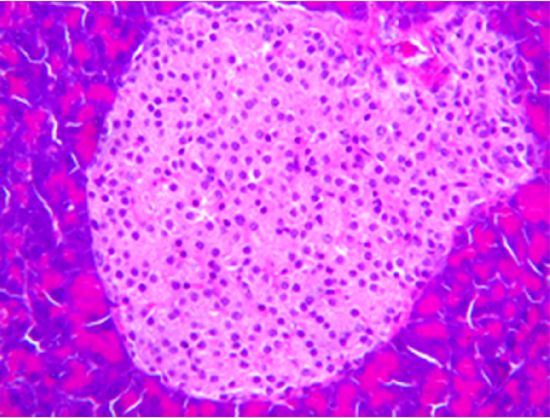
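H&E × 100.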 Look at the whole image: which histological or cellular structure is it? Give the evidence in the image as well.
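A large, rounded, pale pink cluster of cells fills the centre of the field. The cluster is sharply set off from the surrounding darker purple-red glandular tissue. The cells in the cluster have small round nuclei and pale cytoplasm, packed evenly.
Langerhans' islets.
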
